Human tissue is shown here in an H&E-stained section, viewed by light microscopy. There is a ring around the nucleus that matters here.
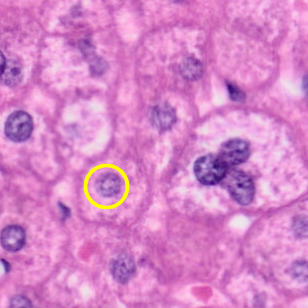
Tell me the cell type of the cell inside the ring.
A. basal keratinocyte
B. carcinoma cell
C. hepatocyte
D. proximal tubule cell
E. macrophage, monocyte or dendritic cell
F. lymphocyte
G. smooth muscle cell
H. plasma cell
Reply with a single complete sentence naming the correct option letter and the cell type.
In the section, the cell inside the ring is a hepatocyte, and option C is correct accordingly.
